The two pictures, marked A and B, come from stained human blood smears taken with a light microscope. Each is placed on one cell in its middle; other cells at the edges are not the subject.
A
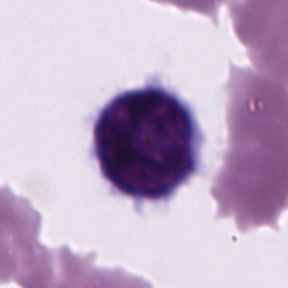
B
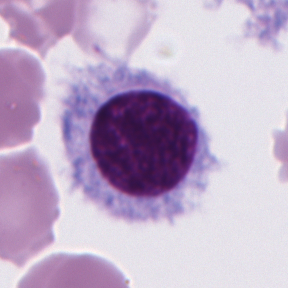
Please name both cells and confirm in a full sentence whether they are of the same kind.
Yes, hairy cells are the cells in the middle of both crops.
